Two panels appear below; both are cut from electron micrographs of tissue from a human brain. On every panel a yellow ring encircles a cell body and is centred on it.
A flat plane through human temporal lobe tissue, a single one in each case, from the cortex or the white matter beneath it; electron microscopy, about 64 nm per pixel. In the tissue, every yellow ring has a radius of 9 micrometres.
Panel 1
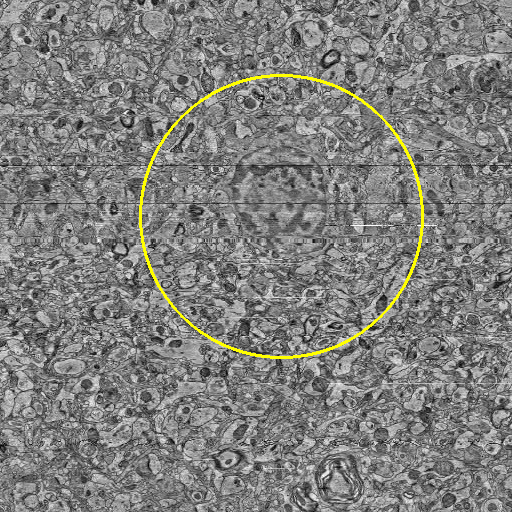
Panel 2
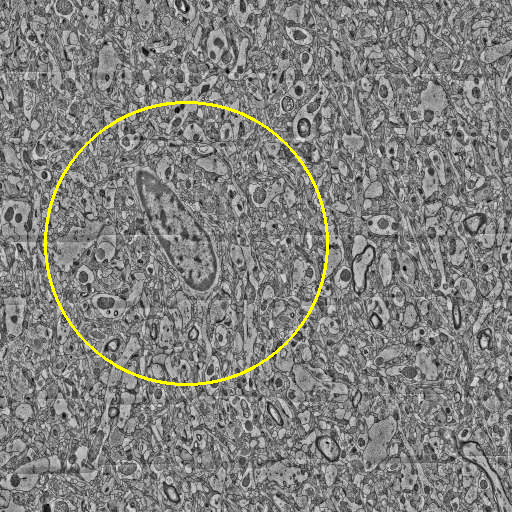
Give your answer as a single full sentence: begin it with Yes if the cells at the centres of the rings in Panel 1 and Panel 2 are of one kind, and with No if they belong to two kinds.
No, the cells in the middle of the rings in Panels 1 and 2 are of two kinds.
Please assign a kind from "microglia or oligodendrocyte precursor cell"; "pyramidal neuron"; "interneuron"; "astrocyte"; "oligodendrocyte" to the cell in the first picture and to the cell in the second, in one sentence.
In the first picture we have an oligodendrocyte, and in the second, a microglial cell or oligodendrocyte precursor cell.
